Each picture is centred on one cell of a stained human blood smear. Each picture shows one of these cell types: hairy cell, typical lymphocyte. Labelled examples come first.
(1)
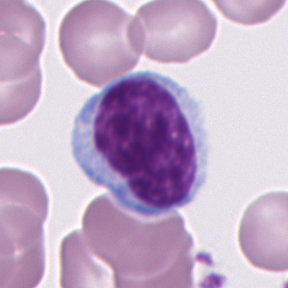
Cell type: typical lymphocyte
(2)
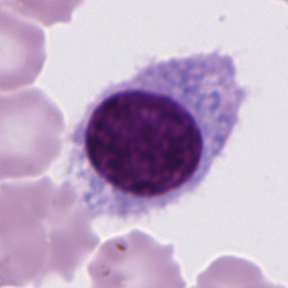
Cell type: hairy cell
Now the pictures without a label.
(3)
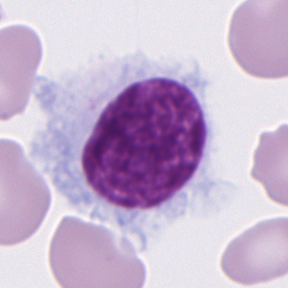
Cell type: hairy cell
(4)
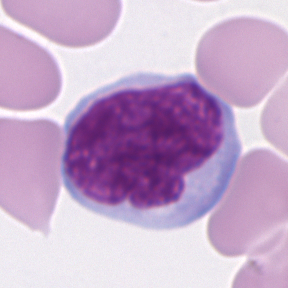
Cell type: typical lymphocyte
